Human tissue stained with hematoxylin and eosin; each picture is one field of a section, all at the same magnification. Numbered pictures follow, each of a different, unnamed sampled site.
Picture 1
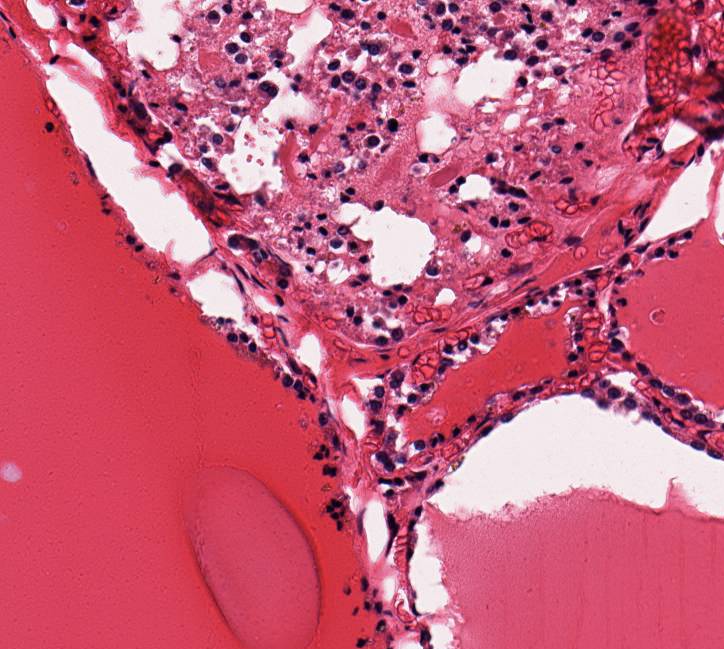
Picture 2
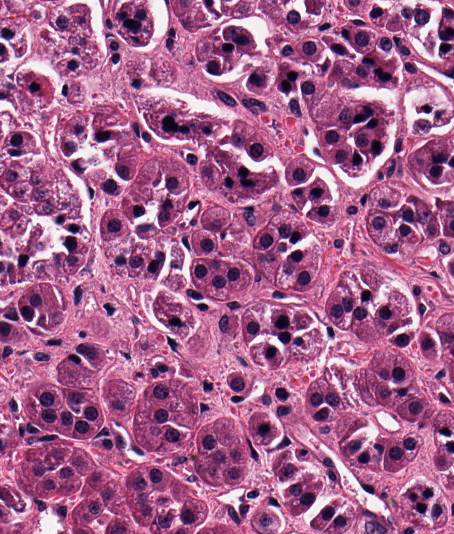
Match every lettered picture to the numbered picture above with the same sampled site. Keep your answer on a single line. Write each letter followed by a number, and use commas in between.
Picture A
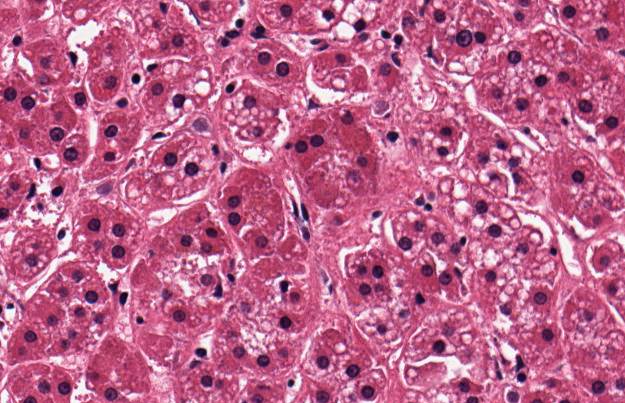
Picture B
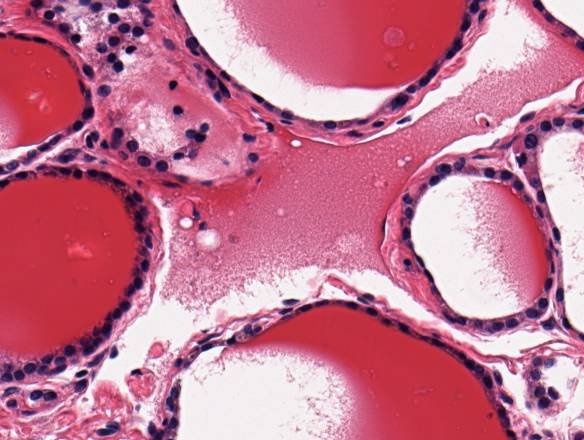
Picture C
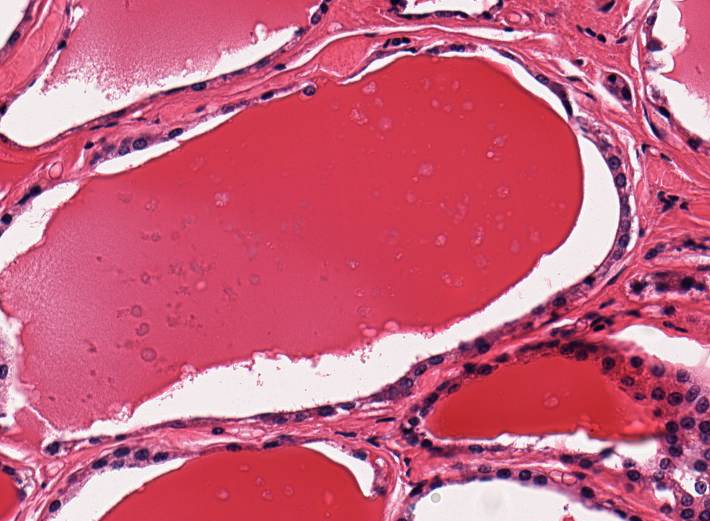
A 2, B 1, C 1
